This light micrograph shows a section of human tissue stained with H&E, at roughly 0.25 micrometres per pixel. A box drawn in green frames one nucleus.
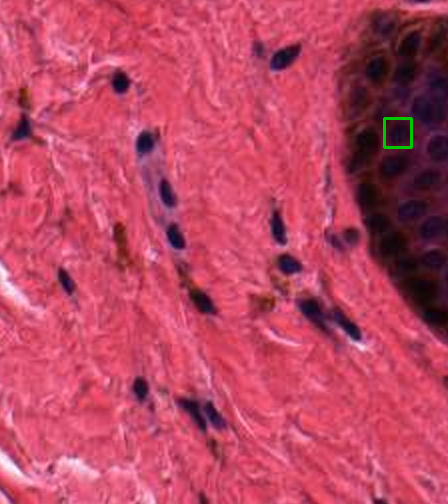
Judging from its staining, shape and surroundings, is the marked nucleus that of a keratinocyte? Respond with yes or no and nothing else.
yes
